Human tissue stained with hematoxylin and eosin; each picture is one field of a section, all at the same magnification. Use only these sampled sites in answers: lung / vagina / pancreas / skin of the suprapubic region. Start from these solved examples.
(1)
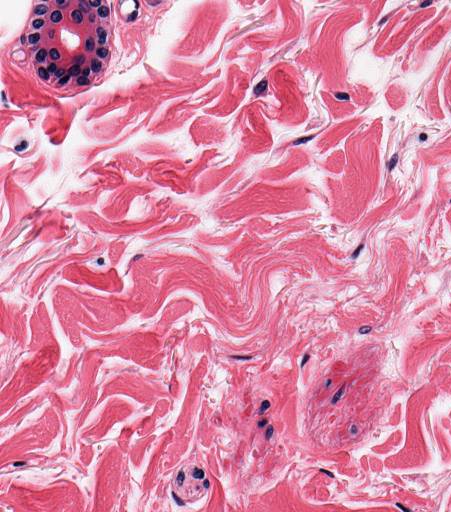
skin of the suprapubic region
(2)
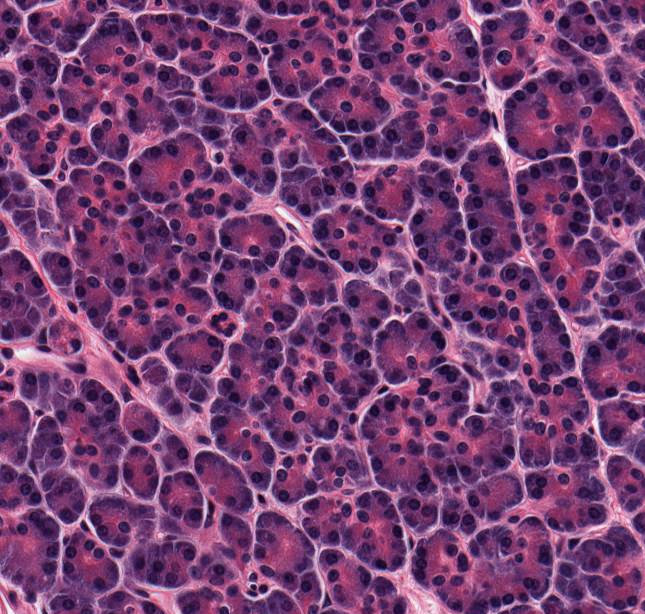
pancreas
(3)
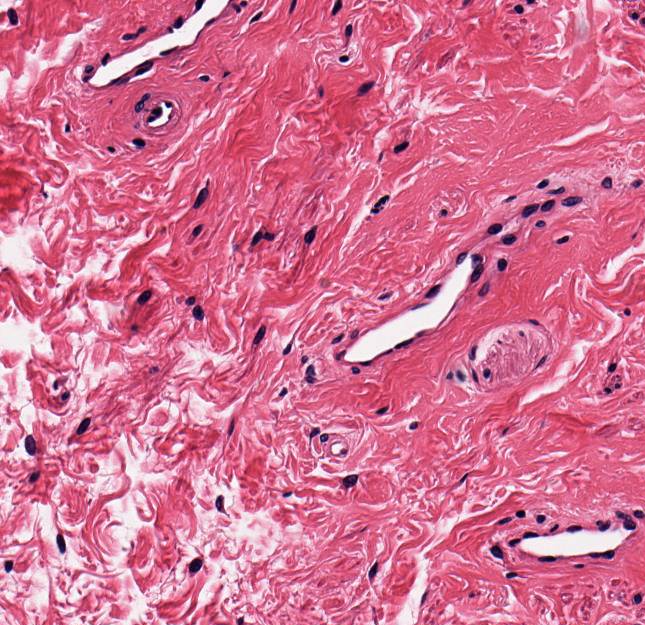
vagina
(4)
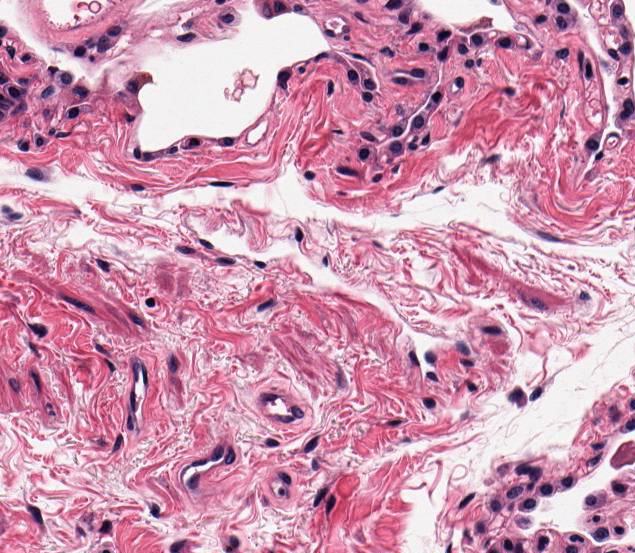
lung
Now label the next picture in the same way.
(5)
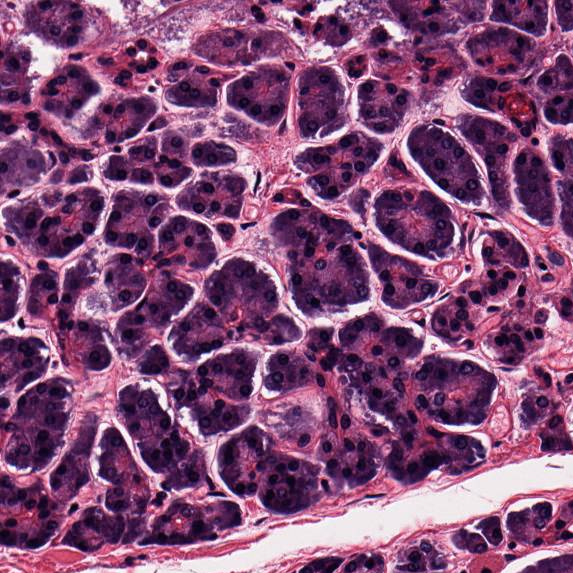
pancreas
